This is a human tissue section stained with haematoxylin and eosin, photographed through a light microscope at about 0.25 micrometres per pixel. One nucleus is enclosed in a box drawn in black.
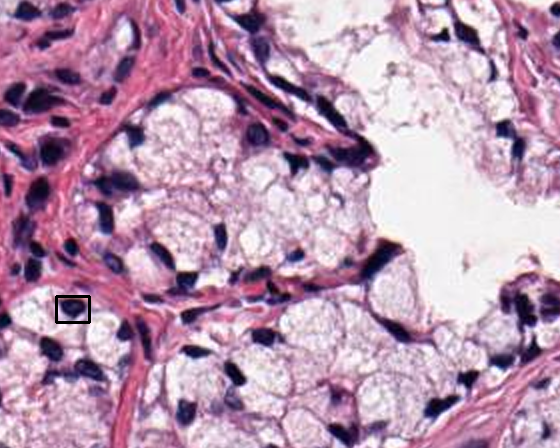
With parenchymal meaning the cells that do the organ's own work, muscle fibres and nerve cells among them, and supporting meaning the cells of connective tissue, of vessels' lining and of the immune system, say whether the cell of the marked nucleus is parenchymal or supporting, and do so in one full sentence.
The owner of the marked nucleus is a parenchymal cell, namely a mucous gland cell.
